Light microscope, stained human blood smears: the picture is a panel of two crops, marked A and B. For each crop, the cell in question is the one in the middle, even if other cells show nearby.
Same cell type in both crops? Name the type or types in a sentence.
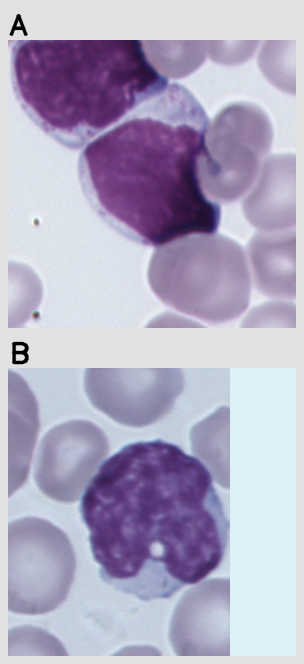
No, in this case crop A shows a large granular lymphocyte, and crop B shows a myeloblast.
